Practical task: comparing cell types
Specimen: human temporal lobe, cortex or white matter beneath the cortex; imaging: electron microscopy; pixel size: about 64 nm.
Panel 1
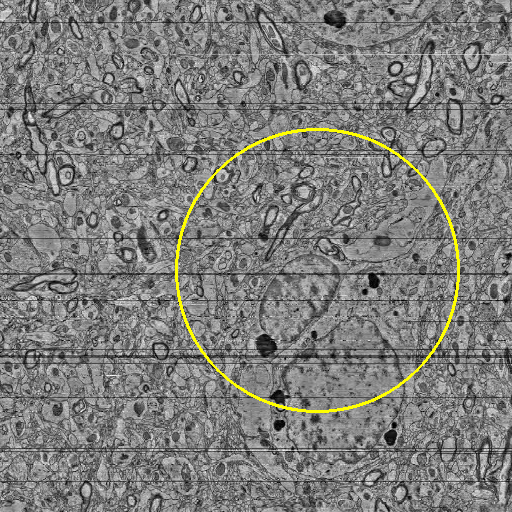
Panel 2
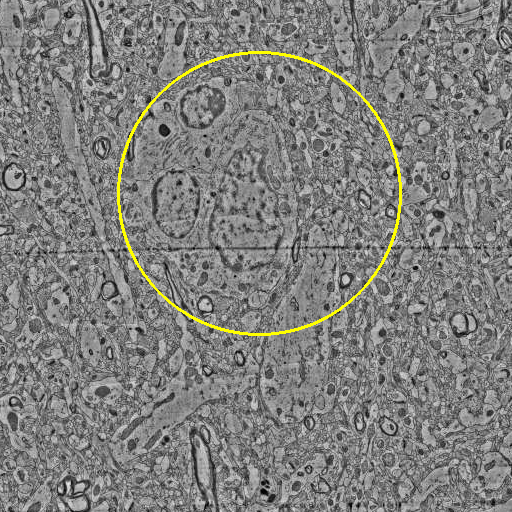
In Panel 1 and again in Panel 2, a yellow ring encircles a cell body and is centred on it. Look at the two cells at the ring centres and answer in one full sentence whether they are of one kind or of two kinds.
The two cells sitting at the ring centres of Panels 1 and 2 are of two kinds.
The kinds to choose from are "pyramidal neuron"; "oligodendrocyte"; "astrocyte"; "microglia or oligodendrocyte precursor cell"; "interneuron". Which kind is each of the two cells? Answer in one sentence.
Of the two, the first cell is an oligodendrocyte and the second cell is an interneuron.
